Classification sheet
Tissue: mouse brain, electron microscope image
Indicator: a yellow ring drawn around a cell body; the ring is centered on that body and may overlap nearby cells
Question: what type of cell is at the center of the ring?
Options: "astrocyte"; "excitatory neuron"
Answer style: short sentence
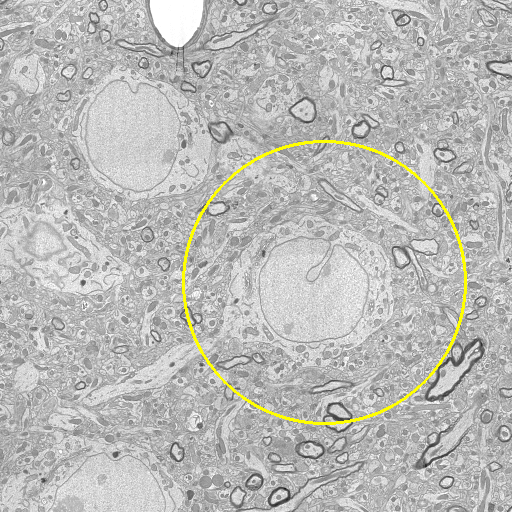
At the ring's center is an excitatory neuron.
